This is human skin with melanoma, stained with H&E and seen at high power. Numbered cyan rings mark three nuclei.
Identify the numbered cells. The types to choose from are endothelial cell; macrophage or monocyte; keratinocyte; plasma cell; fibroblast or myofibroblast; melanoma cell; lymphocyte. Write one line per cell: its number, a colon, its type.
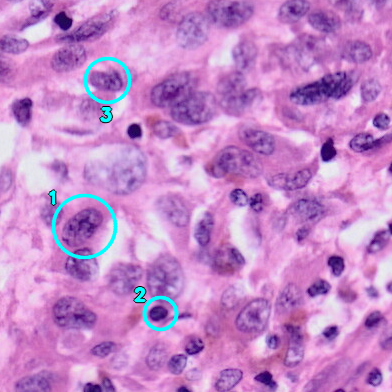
1: melanoma cell
2: lymphocyte
3: melanoma cell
